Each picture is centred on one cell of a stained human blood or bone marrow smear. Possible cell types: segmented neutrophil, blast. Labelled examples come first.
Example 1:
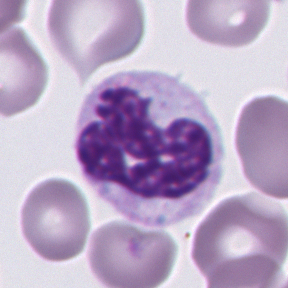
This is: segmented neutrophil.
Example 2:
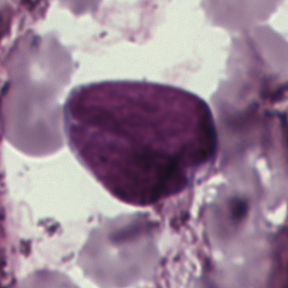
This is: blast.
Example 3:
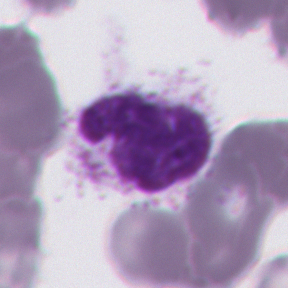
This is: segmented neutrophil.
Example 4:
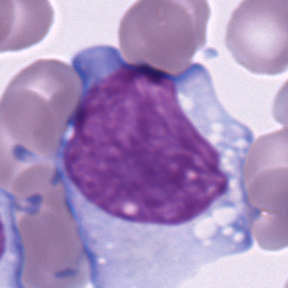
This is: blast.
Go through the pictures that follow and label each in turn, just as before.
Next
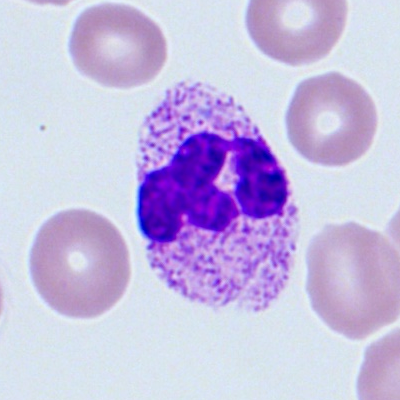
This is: segmented neutrophil.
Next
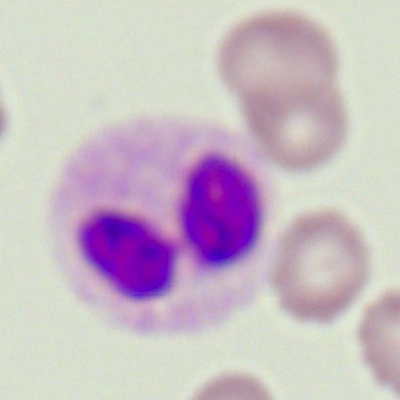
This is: segmented neutrophil.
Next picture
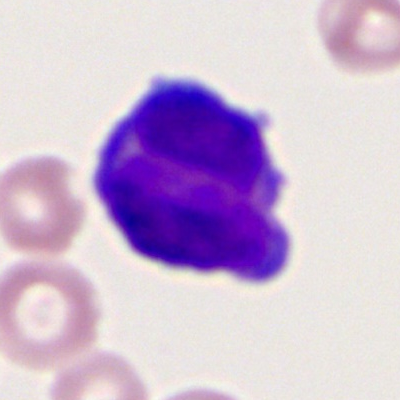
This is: blast.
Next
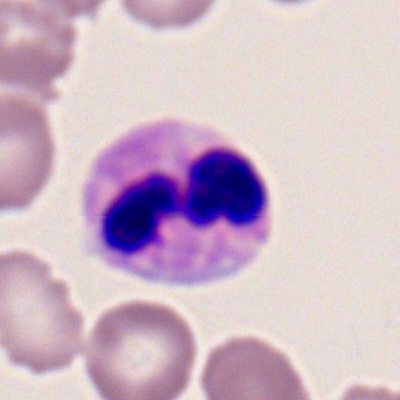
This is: segmented neutrophil.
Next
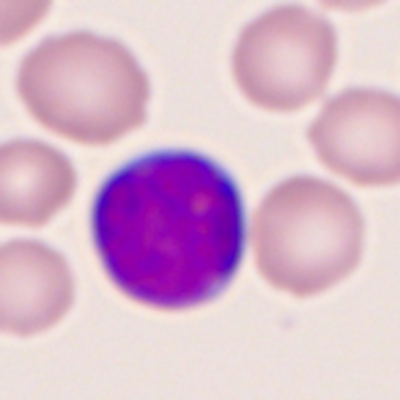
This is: blast.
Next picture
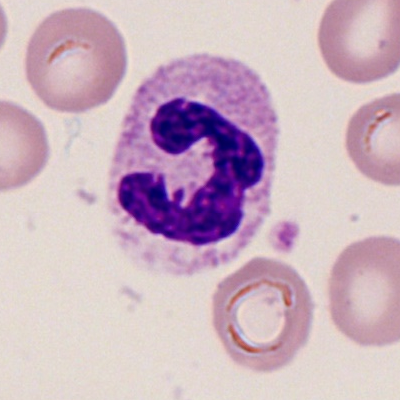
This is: segmented neutrophil.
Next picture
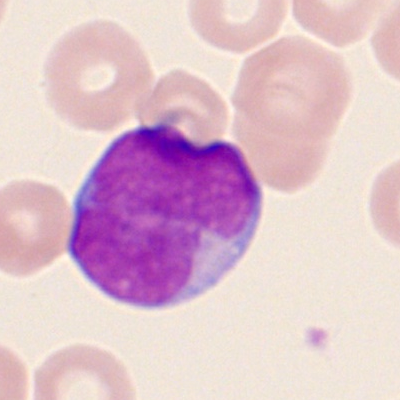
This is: blast.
